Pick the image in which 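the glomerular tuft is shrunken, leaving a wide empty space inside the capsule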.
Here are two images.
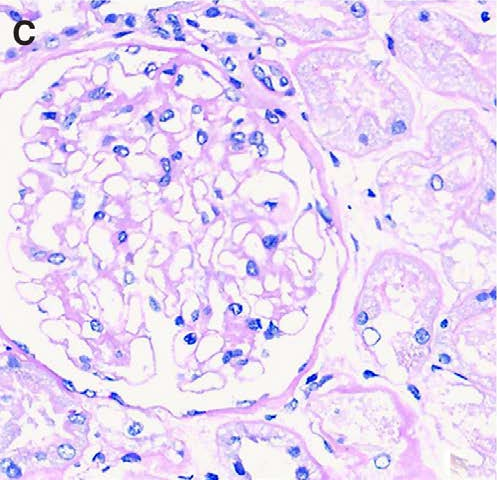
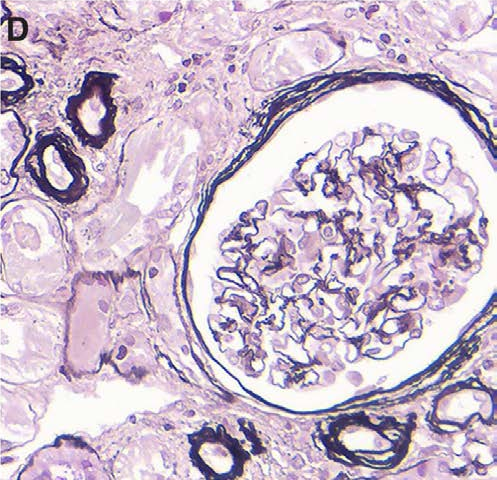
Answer: the second image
